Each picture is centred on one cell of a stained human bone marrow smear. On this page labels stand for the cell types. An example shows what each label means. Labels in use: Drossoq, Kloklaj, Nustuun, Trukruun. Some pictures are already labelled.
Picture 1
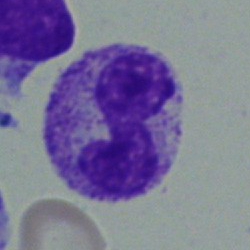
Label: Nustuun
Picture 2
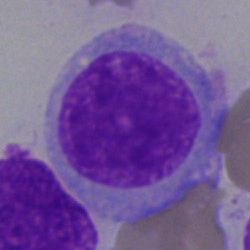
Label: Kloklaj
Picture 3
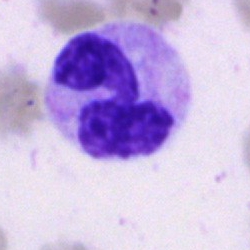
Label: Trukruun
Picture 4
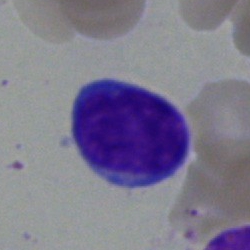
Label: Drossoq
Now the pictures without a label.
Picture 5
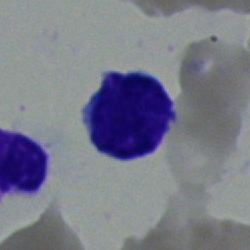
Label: Drossoq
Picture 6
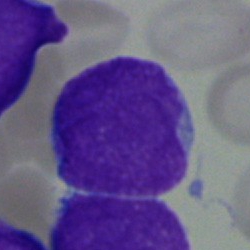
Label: Kloklaj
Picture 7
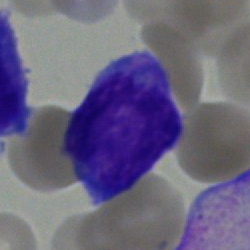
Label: Kloklaj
